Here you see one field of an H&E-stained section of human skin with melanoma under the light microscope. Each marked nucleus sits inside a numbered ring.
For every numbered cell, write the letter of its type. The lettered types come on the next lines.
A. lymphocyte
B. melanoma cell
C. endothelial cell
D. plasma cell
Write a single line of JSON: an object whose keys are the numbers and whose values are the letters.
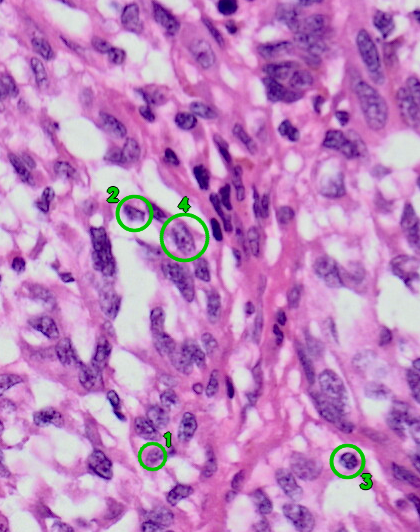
{"1": "B", "2": "B", "3": "A", "4": "B"}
